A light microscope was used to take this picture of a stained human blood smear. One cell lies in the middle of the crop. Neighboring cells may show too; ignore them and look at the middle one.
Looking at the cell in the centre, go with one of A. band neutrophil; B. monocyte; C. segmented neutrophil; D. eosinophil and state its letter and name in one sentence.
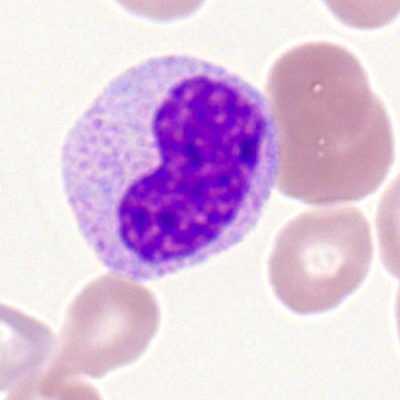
In this crop the central cell is a band neutrophil, which option A correctly states.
